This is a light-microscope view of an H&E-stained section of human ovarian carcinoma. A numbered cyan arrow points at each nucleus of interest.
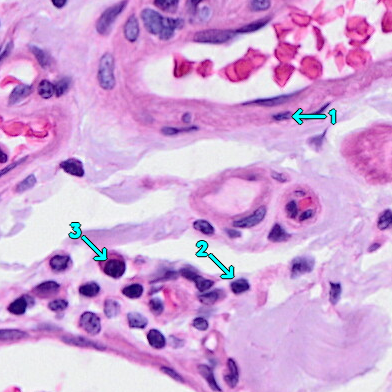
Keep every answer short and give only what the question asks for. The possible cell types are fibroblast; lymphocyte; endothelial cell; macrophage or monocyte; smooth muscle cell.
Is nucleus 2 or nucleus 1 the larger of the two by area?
2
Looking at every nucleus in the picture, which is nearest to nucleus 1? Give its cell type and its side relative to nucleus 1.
an endothelial cell above and to the left of nucleus 1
